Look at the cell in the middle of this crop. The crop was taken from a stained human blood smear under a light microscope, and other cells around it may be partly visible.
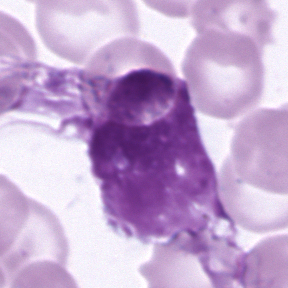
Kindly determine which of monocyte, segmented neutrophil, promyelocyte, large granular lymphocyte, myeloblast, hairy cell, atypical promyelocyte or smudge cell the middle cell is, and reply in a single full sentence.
Within this crop, a smudge cell occupies the central position.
